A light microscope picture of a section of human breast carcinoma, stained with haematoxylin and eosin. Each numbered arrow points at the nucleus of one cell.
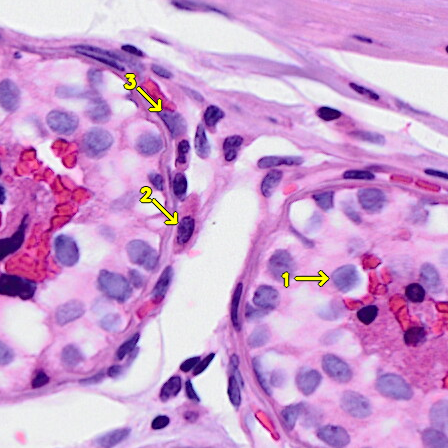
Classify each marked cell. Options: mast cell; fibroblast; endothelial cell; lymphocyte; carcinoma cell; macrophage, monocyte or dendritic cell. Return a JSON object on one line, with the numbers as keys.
{"1": "carcinoma cell", "2": "mast cell", "3": "endothelial cell"}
